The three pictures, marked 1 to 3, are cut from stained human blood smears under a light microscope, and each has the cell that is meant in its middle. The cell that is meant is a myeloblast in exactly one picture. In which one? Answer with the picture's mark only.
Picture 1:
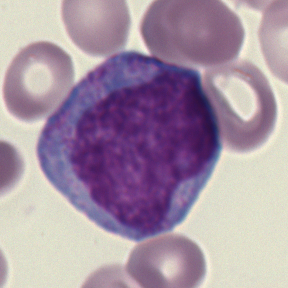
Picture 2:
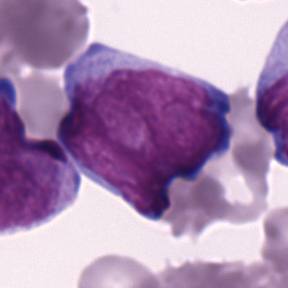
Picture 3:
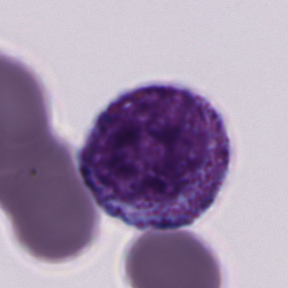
2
